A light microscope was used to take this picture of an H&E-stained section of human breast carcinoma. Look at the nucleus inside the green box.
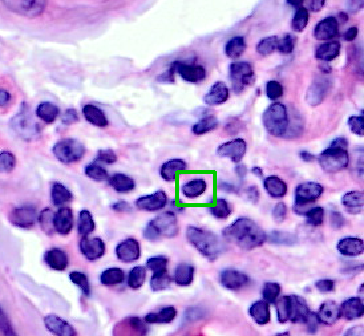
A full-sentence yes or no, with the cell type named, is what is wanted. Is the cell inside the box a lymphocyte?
Yes, it holds that the cell inside the box is a lymphocyte.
